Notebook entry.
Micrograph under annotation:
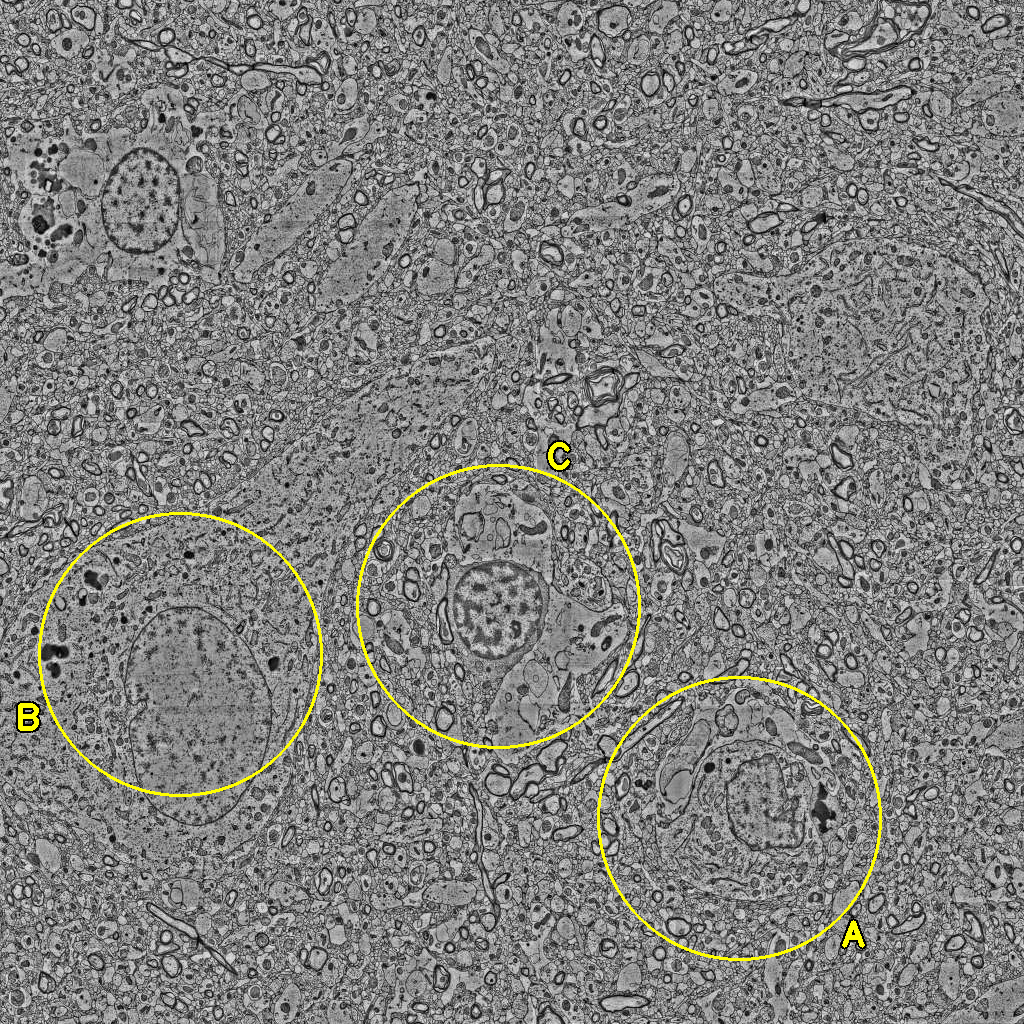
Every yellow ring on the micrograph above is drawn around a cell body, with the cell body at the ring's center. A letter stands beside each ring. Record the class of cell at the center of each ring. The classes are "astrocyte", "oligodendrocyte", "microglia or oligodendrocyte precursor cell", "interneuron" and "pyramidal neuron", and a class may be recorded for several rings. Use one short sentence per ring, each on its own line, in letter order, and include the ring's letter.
Ring A is centered on an interneuron.
Ring B is centered on a pyramidal neuron.
Ring C is centered on an oligodendrocyte.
